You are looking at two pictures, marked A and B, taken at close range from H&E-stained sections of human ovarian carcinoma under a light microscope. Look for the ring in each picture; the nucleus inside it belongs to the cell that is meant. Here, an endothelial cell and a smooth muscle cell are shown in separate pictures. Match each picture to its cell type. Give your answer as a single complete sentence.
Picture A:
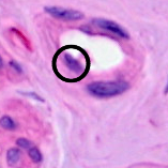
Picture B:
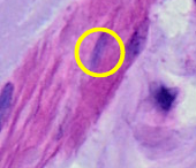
Picture B shows a smooth muscle cell, while picture A shows an endothelial cell.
